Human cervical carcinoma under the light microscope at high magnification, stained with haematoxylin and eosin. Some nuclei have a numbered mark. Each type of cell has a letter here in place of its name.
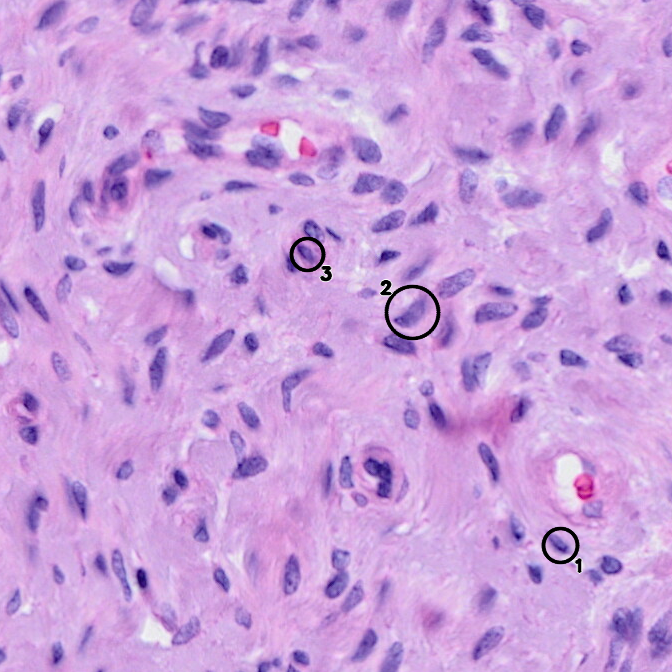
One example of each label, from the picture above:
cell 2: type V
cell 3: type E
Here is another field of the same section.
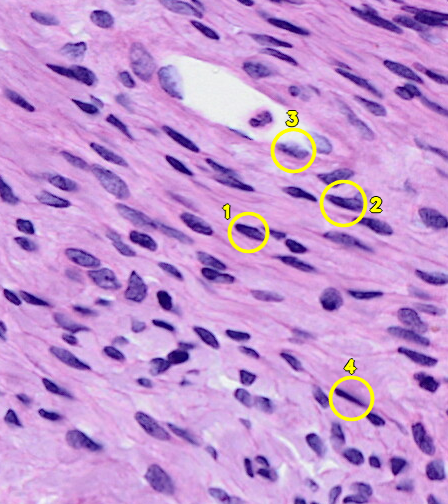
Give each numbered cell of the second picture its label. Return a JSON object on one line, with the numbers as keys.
{"1": "type V", "2": "type V", "3": "type E", "4": "type V"}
